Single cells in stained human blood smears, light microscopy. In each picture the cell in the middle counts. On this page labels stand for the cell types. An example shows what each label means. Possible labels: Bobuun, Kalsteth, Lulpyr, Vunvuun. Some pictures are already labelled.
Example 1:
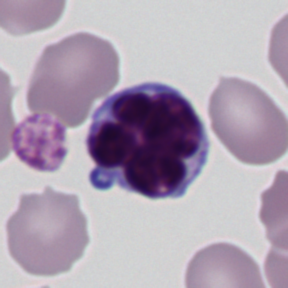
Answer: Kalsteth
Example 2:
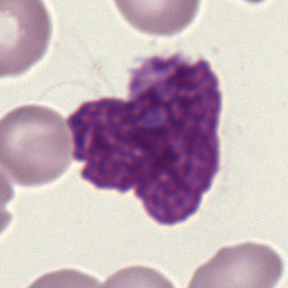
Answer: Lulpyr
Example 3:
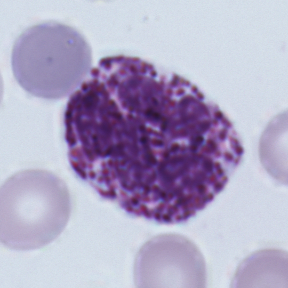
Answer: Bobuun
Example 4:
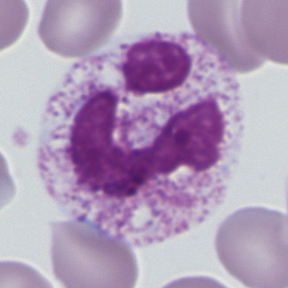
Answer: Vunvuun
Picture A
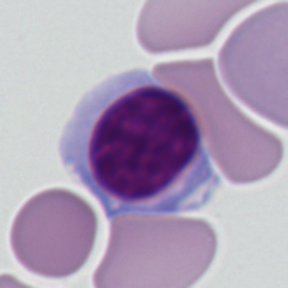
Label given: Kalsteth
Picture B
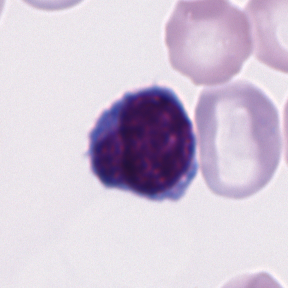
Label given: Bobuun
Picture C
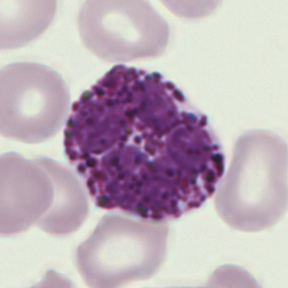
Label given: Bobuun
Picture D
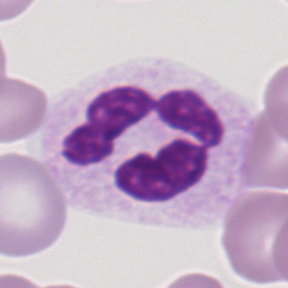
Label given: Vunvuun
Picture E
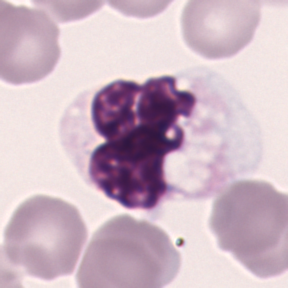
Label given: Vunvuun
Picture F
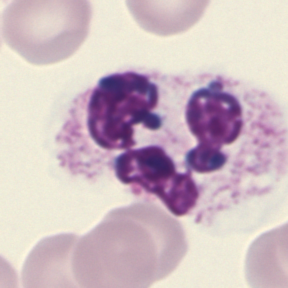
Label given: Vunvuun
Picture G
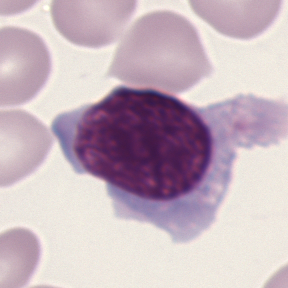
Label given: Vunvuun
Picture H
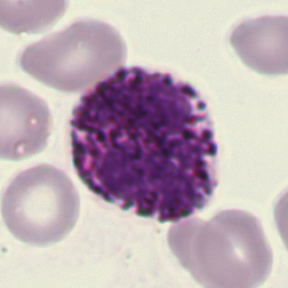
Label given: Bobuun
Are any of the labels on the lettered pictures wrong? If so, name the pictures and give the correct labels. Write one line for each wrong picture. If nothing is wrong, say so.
Wrong: B (Bobuun); correct: Kalsteth
Wrong: G (Vunvuun); correct: Kalsteth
